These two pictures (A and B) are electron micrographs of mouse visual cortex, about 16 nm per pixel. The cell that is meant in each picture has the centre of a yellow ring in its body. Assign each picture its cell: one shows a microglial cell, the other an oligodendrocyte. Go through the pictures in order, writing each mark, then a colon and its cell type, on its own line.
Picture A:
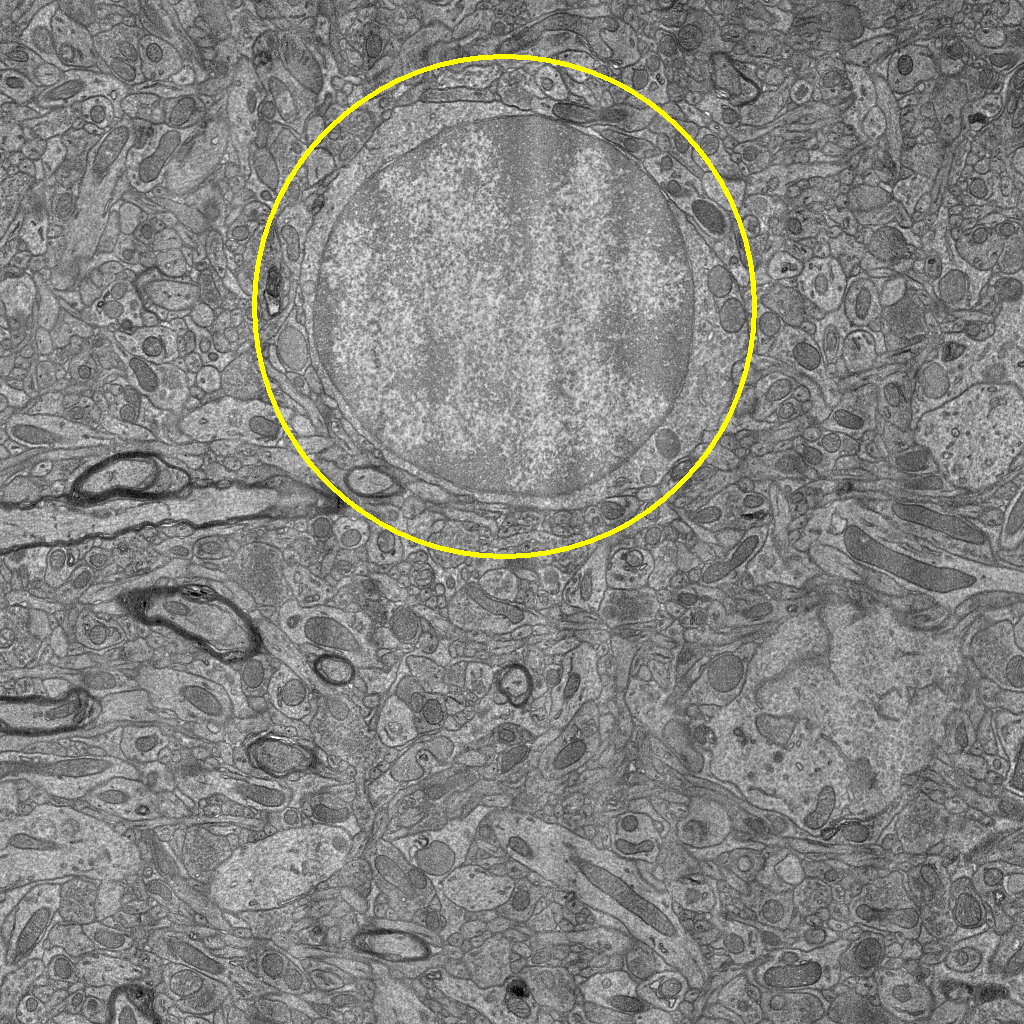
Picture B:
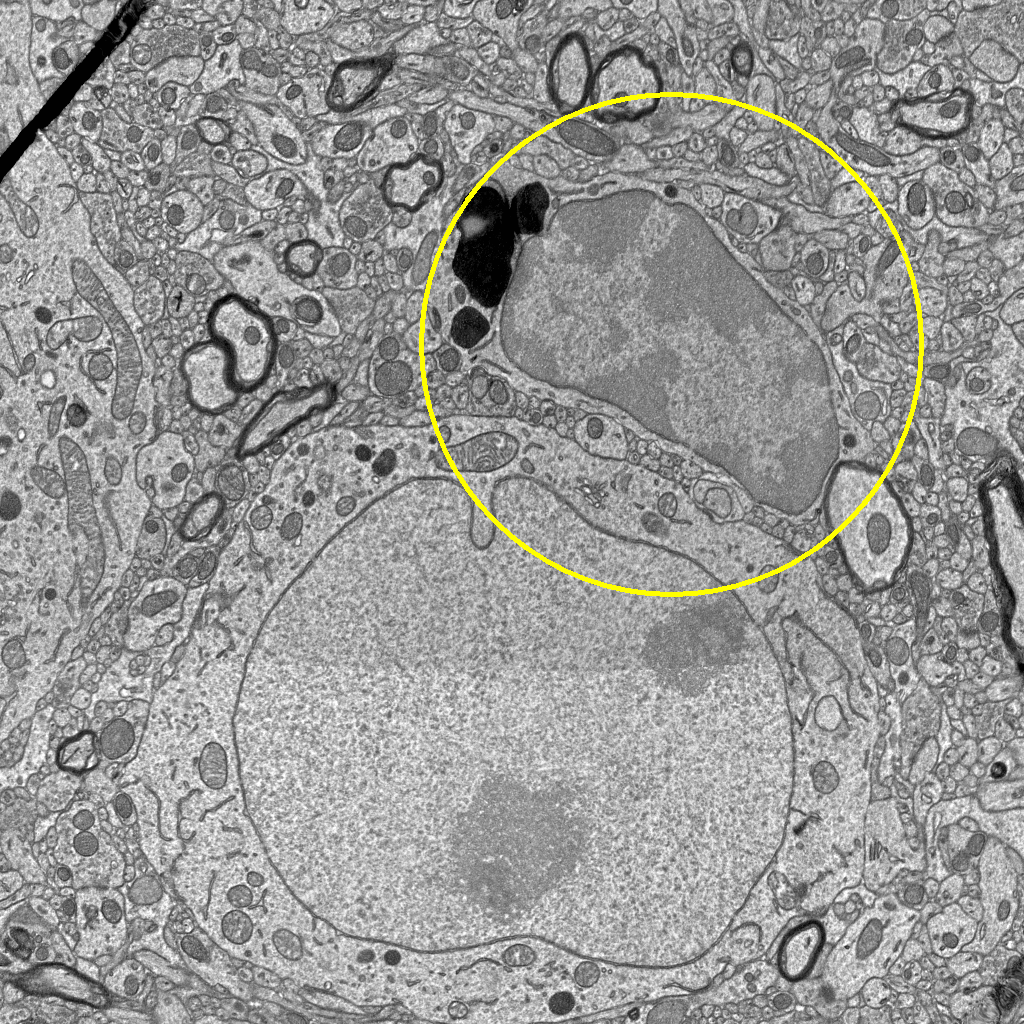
A: oligodendrocyte
B: microglial cell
